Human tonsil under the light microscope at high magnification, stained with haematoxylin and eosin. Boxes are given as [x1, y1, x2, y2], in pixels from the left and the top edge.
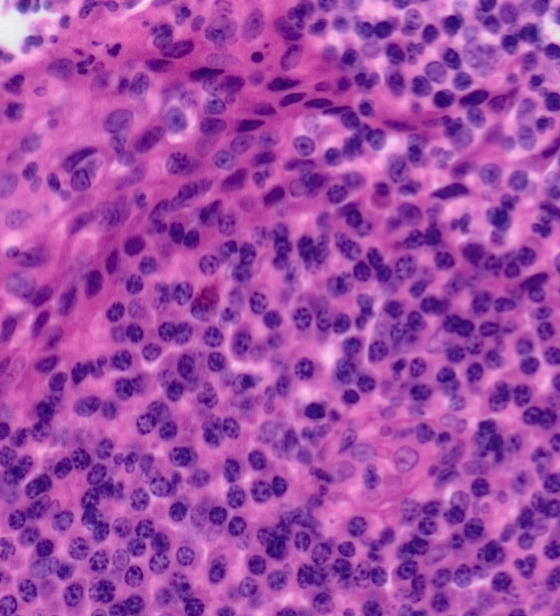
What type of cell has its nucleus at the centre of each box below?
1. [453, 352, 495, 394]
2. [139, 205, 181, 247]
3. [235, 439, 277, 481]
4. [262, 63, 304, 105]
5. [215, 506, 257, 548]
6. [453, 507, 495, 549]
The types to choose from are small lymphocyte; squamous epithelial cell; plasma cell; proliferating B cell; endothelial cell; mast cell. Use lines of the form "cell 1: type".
cell 1: plasma cell
cell 2: squamous epithelial cell
cell 3: plasma cell
cell 4: squamous epithelial cell
cell 5: plasma cell
cell 6: plasma cell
